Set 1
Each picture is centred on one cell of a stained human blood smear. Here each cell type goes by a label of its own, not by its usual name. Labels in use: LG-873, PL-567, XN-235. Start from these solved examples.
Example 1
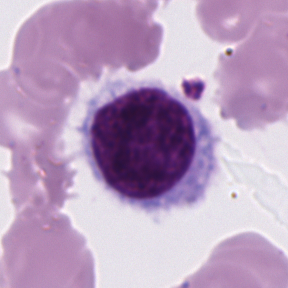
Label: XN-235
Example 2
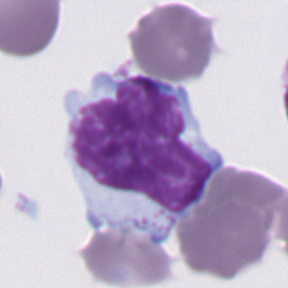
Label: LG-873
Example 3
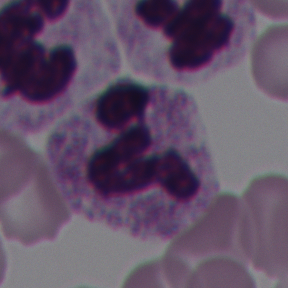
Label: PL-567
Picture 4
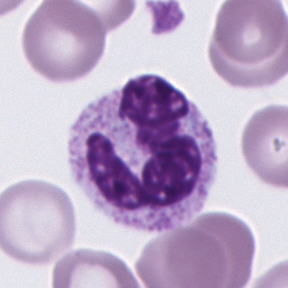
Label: PL-567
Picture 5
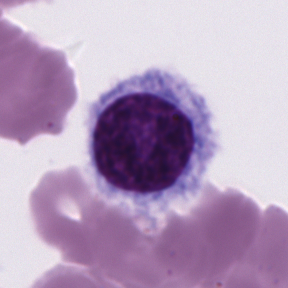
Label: XN-235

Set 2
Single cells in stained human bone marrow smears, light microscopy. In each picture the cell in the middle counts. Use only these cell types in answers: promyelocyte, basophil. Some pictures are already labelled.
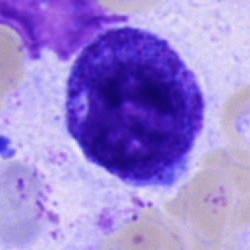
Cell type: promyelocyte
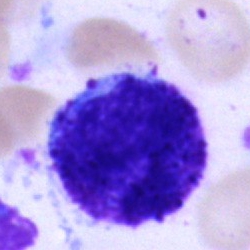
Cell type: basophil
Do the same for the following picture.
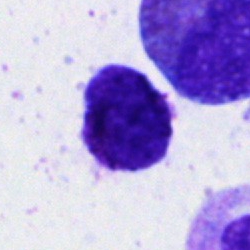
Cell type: basophil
